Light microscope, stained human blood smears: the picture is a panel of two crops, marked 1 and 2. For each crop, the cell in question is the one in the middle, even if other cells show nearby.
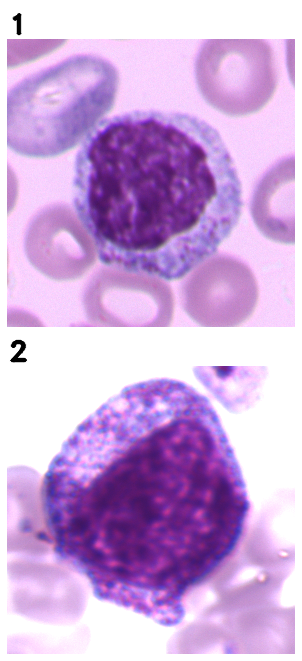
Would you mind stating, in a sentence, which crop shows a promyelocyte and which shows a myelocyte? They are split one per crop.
In crop 1, a myelocyte is present; in crop 2, a promyelocyte is present.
